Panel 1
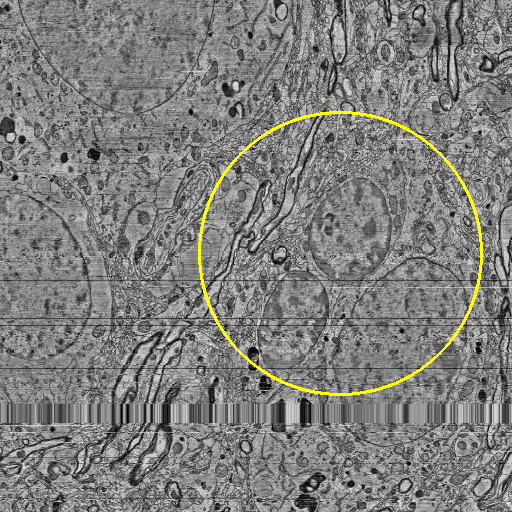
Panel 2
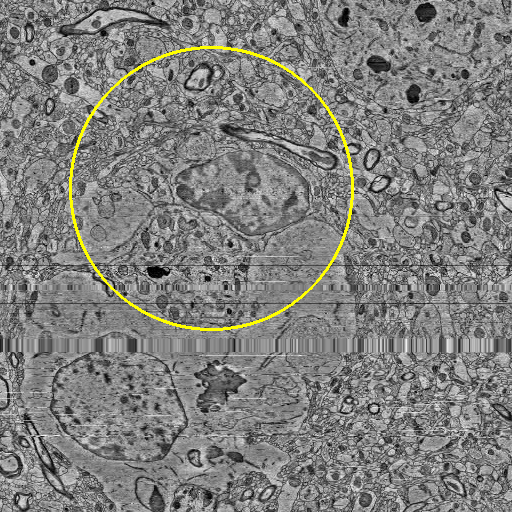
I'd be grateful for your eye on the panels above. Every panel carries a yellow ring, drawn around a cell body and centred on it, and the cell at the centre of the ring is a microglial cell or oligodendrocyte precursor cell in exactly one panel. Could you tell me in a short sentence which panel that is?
Panel 2 is the one with it at the centre of the ring.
